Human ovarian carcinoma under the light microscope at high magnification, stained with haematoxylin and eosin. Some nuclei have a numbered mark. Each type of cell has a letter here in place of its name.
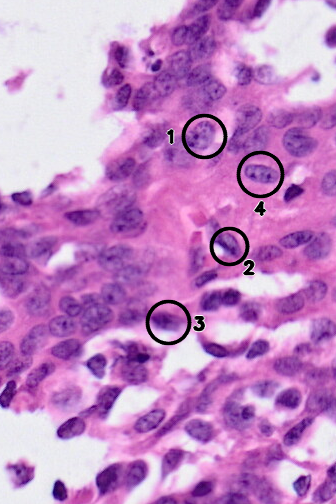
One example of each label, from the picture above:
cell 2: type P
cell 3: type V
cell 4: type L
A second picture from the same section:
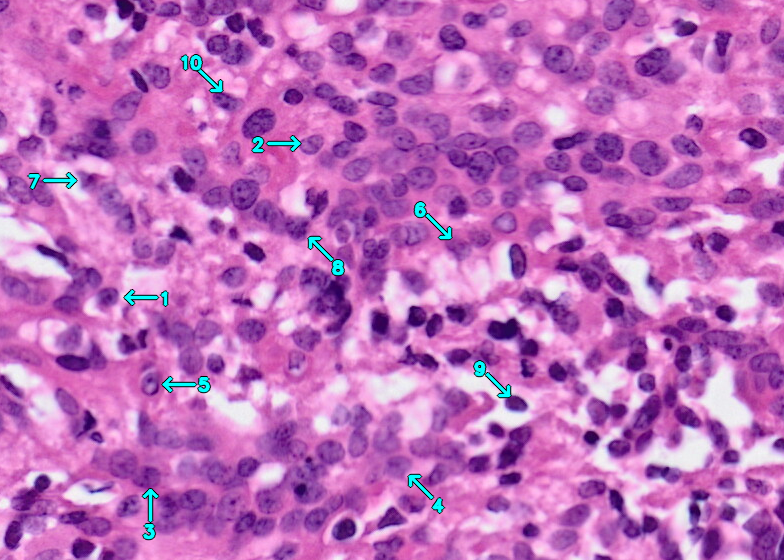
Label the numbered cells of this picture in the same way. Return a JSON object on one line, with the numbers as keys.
{"1": "type L", "2": "type L", "3": "type V", "4": "type V", "5": "type P", "6": "type V", "7": "type V", "8": "type V", "9": "type V", "10": "type L"}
